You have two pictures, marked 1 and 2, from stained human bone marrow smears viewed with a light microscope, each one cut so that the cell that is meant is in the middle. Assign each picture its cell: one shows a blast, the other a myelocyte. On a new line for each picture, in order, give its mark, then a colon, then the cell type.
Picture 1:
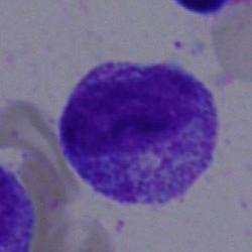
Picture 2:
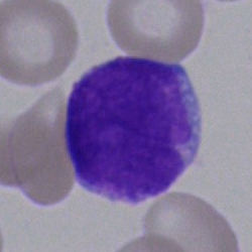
1: myelocyte
2: blast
